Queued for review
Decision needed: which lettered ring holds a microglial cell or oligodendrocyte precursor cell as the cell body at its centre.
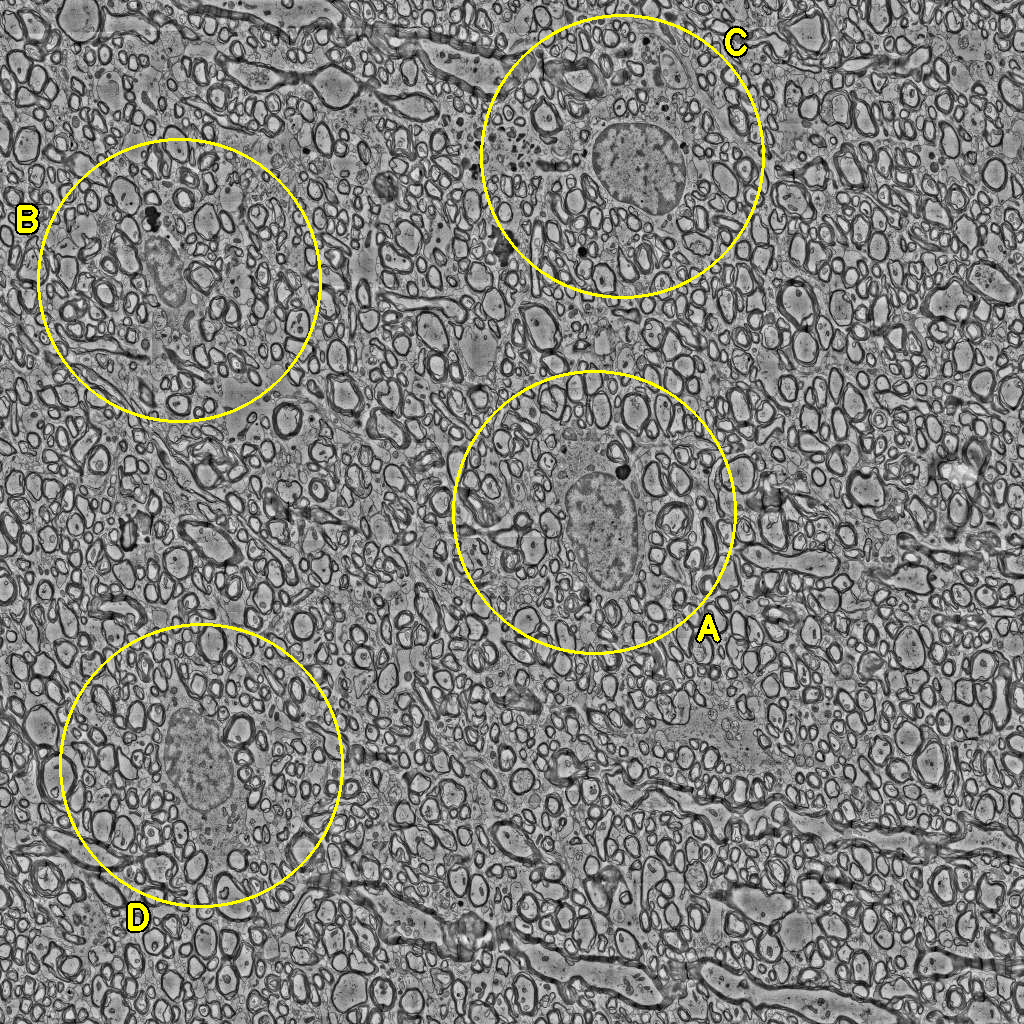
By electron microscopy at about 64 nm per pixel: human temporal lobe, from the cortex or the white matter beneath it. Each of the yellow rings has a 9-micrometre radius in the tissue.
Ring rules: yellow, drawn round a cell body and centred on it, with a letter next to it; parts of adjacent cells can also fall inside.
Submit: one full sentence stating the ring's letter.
The cell asked for is the one at the centre of ring C in the picture.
